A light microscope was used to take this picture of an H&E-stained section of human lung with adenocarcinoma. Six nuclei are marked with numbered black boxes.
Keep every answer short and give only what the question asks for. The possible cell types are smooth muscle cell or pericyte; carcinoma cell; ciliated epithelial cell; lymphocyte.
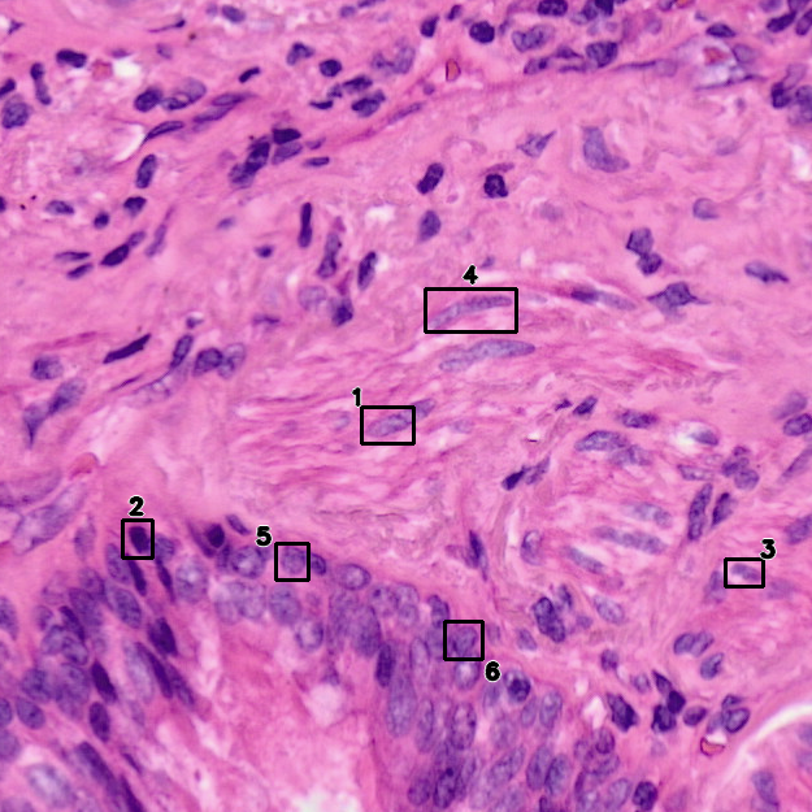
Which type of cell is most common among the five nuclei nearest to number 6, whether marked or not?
ciliated epithelial cell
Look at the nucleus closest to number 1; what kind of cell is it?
smooth muscle cell or pericyte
